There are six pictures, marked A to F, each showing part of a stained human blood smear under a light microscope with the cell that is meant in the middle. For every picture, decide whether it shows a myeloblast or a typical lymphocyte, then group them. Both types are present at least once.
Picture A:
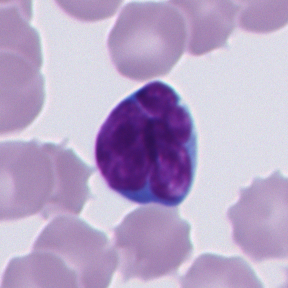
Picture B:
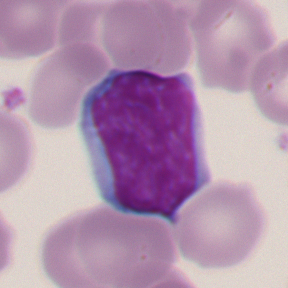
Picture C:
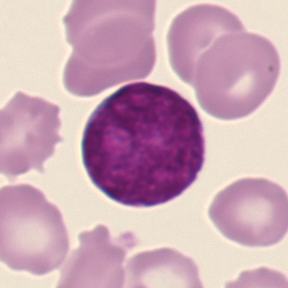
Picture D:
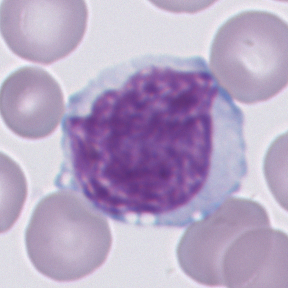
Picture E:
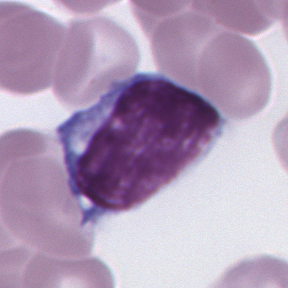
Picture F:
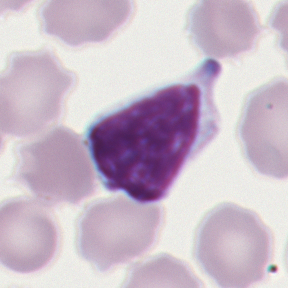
A: typical lymphocyte
B: typical lymphocyte
C: myeloblast
D: myeloblast
E: typical lymphocyte
F: typical lymphocyte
